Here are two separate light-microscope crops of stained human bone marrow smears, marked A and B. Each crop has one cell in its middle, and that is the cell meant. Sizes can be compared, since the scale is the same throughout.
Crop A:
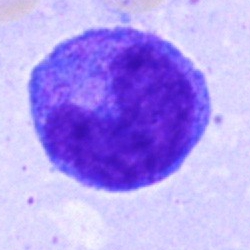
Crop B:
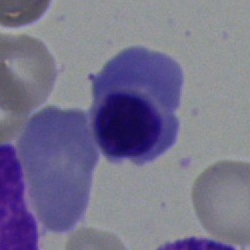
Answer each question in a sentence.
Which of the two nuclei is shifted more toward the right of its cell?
Seen within its cell, the nucleus in crop A lies further toward the right.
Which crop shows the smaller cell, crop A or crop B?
The cell in crop B is smaller; the one in crop A has about 2.5 times its area.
